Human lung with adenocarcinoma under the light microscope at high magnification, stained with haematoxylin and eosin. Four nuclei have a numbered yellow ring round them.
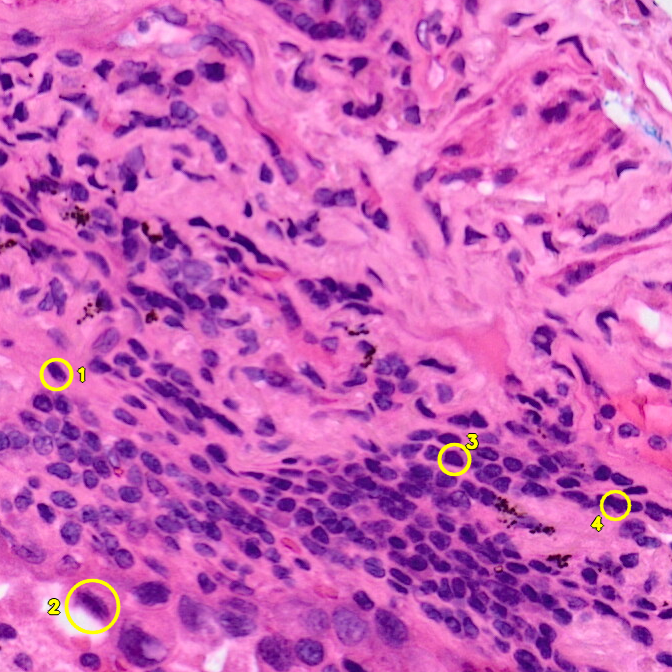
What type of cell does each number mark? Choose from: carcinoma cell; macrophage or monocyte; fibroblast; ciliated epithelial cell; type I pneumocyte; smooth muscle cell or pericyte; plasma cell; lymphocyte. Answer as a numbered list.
1. lymphocyte
2. carcinoma cell
3. lymphocyte
4. lymphocyte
